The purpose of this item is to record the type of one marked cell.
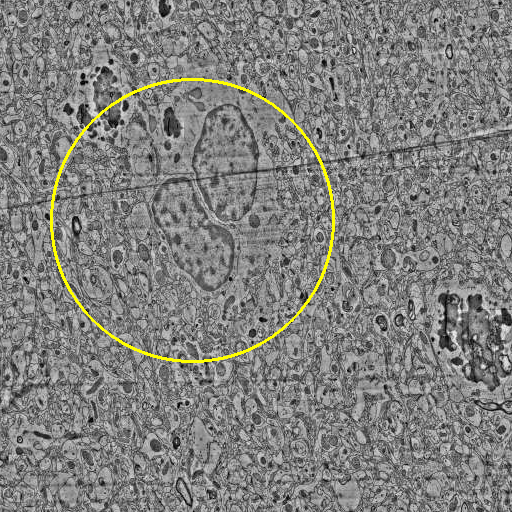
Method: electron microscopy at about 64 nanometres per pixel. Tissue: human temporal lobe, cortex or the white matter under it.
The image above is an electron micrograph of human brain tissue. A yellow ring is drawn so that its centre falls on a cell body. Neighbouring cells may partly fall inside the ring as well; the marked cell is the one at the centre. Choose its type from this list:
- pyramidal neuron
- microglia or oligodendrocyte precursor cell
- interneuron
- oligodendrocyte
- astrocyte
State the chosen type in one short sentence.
What the ring marks here is a microglial cell or oligodendrocyte precursor cell.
